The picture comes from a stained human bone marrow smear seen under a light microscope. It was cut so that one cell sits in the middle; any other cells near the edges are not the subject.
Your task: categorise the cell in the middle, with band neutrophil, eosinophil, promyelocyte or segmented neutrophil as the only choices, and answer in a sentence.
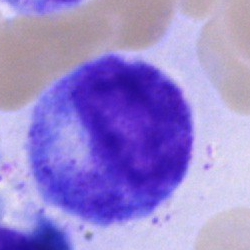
Present in the middle of the crop is a promyelocyte.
